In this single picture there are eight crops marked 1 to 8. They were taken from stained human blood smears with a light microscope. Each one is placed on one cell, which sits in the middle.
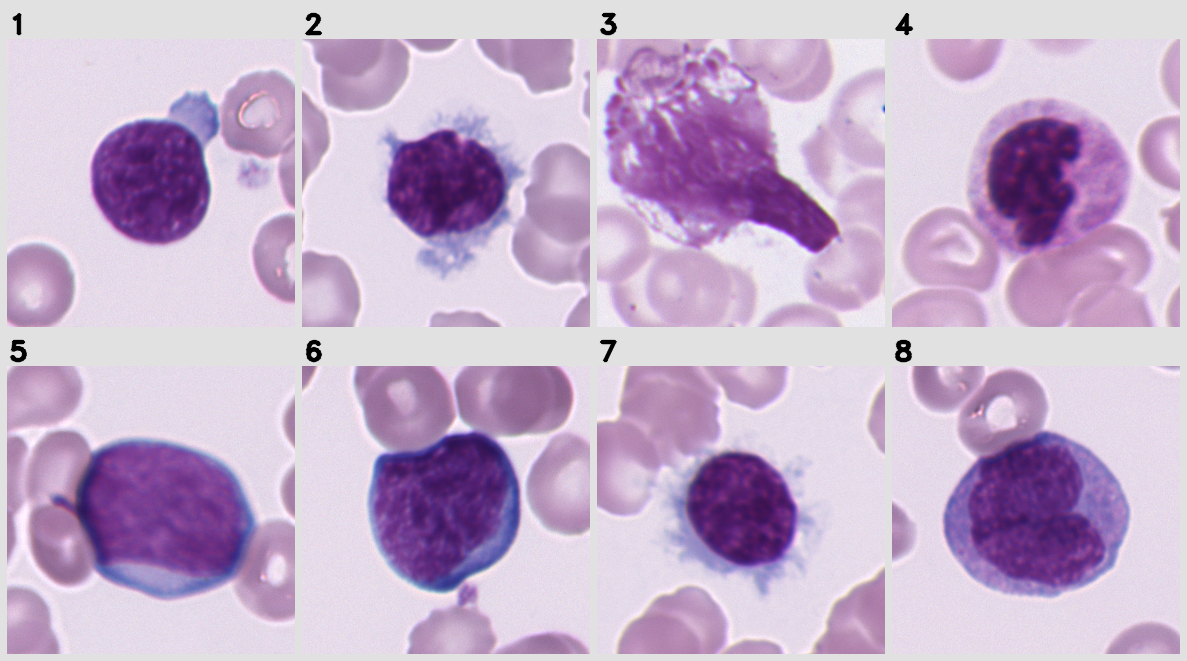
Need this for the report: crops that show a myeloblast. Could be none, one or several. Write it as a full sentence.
Crops 1, 5 and 6 are recognised as showing myeloblasts.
